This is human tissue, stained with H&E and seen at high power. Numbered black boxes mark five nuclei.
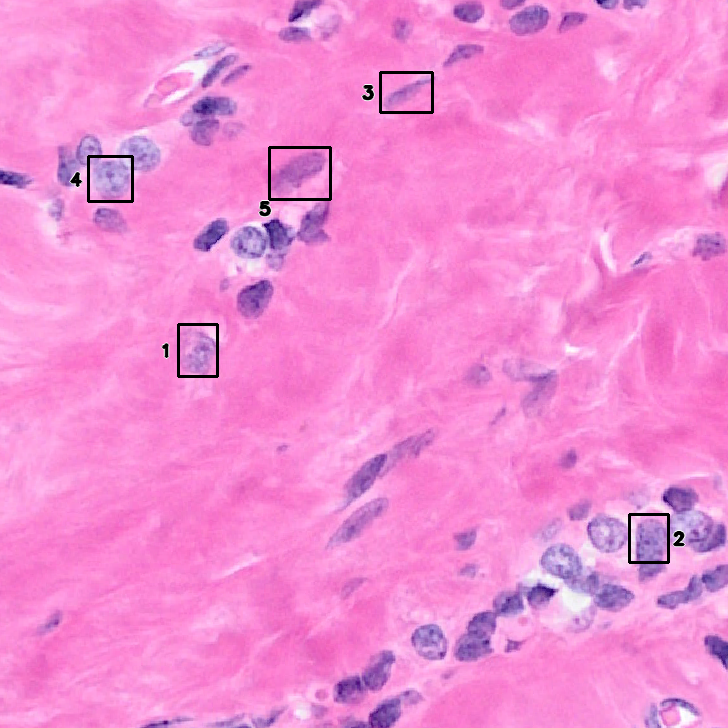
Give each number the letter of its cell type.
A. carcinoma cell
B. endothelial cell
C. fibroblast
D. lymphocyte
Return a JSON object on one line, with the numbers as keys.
{"1": "C", "2": "A", "3": "C", "4": "A", "5": "C"}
